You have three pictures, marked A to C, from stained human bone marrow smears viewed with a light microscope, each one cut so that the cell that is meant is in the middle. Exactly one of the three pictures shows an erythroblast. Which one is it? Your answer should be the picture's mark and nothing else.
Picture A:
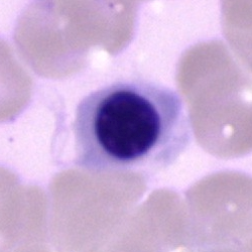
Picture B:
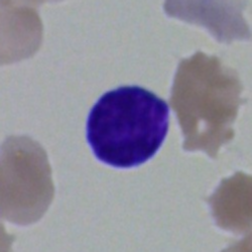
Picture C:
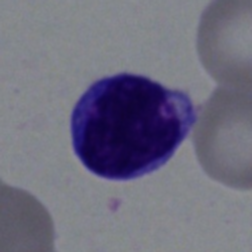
A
